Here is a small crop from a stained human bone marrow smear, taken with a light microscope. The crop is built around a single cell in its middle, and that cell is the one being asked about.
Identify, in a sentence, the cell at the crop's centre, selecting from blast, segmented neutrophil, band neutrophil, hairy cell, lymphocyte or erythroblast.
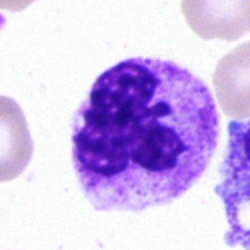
The cell in the middle of the field of view is a segmented neutrophil.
